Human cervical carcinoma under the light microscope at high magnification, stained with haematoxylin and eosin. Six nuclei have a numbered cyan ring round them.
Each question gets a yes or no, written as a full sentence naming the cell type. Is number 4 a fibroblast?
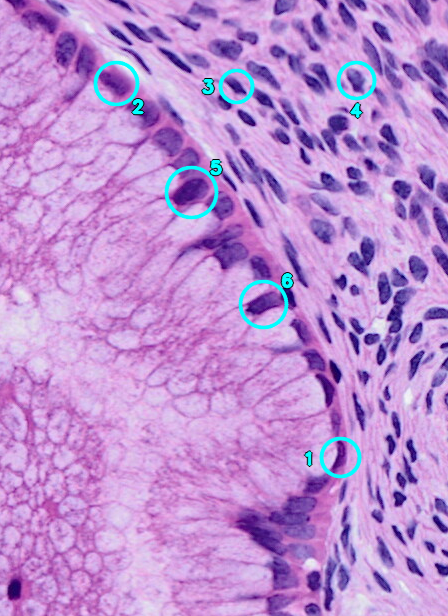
Yes, in the section, number 4 is a fibroblast.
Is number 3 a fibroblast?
Yes, that is so; number 3 marks a fibroblast.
